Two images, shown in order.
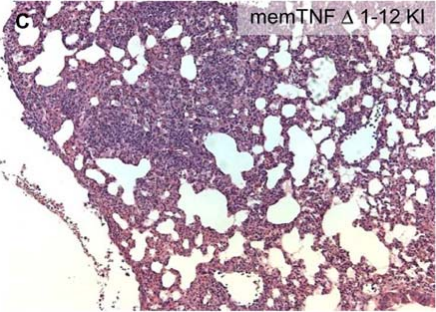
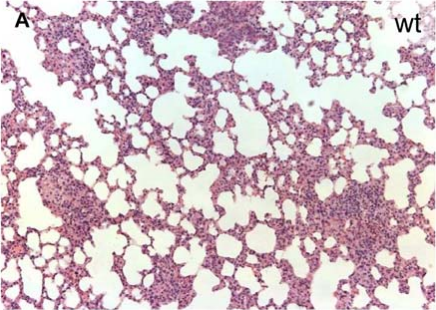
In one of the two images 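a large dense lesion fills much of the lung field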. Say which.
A: the first image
